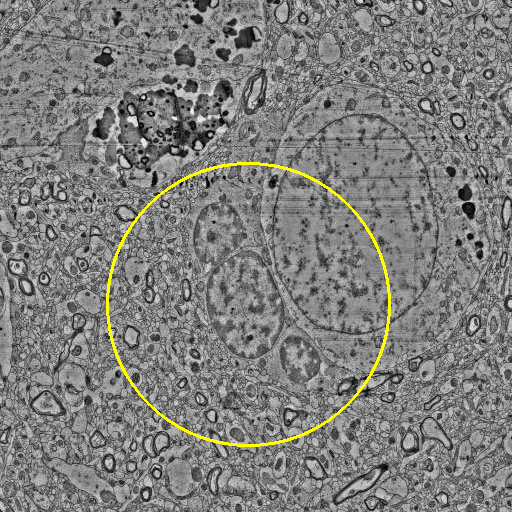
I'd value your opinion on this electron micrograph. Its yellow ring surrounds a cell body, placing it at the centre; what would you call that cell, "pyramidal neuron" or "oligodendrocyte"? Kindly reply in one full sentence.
It is an oligodendrocyte that sits centred within the yellow ring in this micrograph.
